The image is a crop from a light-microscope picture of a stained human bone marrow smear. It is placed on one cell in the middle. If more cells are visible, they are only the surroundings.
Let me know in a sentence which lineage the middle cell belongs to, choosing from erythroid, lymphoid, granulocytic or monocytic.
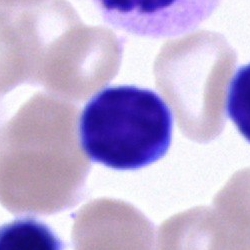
The lineage represented by the cell in the middle is lymphoid.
